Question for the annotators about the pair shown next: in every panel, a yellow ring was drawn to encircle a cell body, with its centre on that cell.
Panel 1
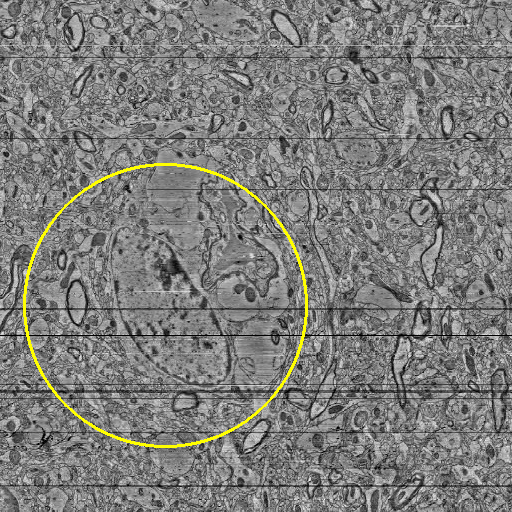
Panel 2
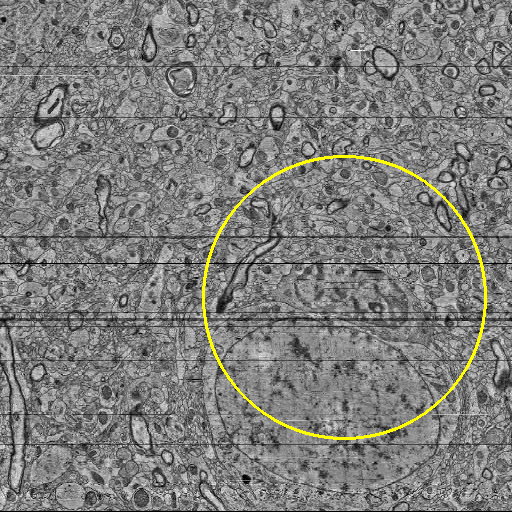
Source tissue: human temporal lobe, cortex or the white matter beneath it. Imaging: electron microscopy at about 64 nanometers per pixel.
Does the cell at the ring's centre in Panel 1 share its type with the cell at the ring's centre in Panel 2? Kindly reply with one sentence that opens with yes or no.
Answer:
No, in Panels 1 and 2 the cells at the ring centres belong to separate types.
